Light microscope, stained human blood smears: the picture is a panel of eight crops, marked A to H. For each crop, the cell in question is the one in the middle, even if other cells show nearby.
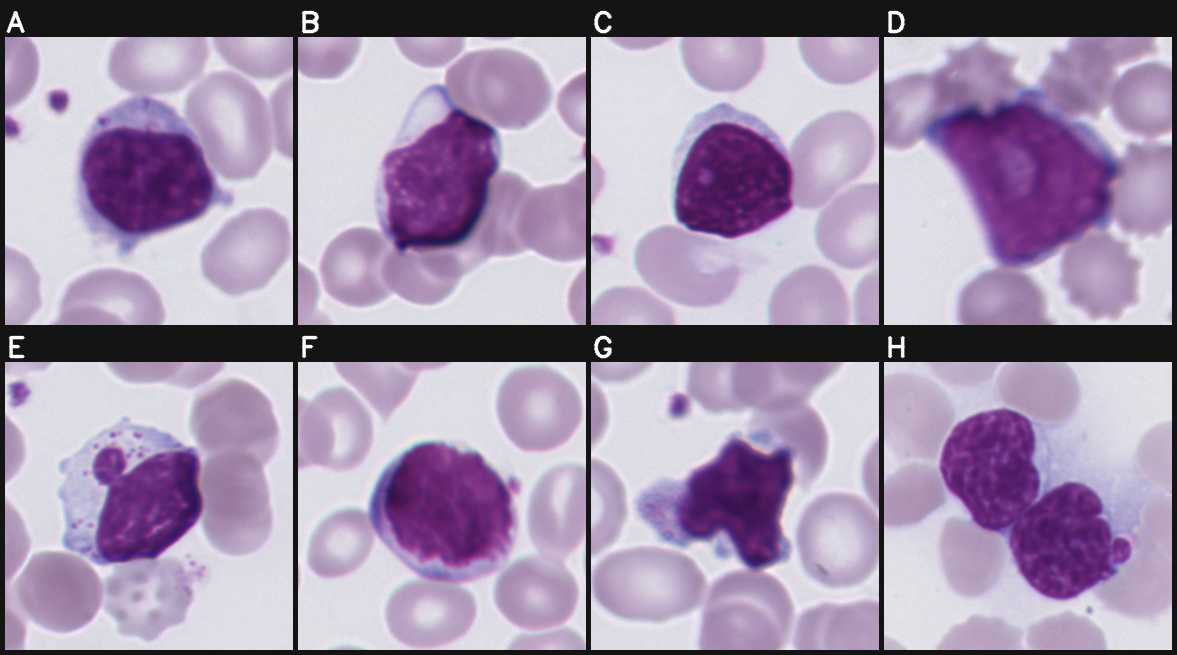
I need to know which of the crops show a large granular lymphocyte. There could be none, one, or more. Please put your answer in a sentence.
Crops B, E and F depict large granular lymphocytes in the middle.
